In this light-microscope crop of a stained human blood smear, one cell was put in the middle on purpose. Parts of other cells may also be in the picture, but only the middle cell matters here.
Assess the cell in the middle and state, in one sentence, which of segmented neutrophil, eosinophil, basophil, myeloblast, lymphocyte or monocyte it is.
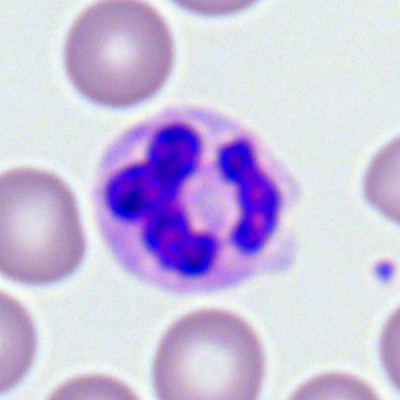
The center cell of this crop is a segmented neutrophil.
